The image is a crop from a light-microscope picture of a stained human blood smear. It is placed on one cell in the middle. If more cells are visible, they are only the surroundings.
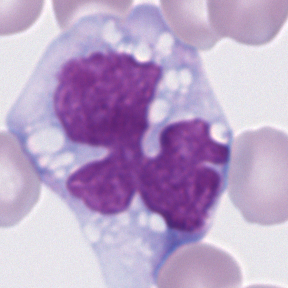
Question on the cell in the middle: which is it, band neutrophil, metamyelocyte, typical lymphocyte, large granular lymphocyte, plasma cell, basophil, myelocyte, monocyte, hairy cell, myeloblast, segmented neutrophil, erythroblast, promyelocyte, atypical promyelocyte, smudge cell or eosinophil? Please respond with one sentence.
The crop shows a monocyte in its centre.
